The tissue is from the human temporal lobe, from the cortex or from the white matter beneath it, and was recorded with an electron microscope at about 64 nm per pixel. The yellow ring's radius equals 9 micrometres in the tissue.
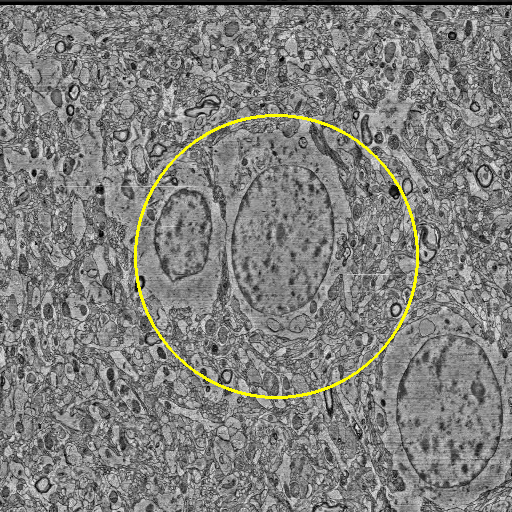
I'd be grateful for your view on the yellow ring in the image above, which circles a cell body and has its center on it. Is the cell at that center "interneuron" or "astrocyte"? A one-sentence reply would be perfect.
The cell at the center of the yellow ring is an astrocyte.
